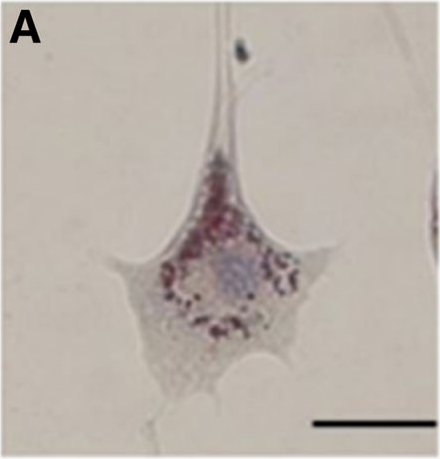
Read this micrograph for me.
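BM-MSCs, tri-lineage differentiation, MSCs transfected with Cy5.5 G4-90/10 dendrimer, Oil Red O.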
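A single cultured adipocyte with a spread, angular cell body and a few thin tapering processes. Its cytoplasm is filled with many small red-stained lipid droplets that cluster around a pale blue, roughly oval central nucleus, while the outer cytoplasm is pale and free of droplets.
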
